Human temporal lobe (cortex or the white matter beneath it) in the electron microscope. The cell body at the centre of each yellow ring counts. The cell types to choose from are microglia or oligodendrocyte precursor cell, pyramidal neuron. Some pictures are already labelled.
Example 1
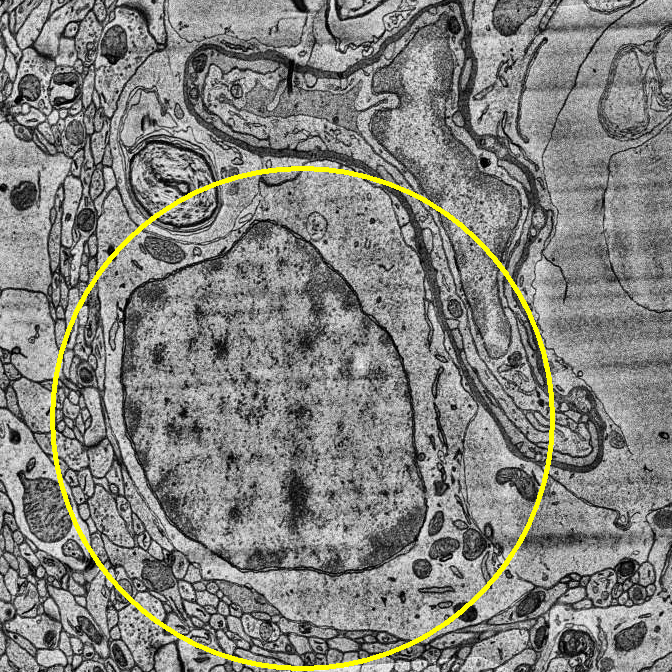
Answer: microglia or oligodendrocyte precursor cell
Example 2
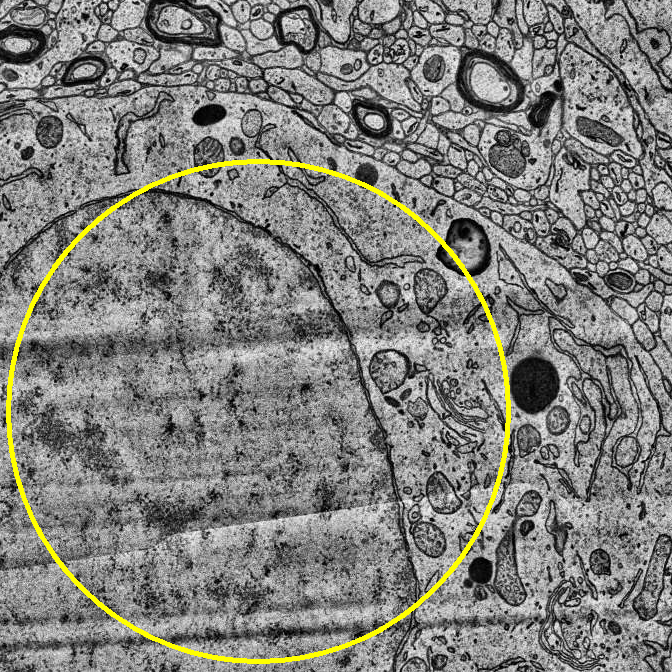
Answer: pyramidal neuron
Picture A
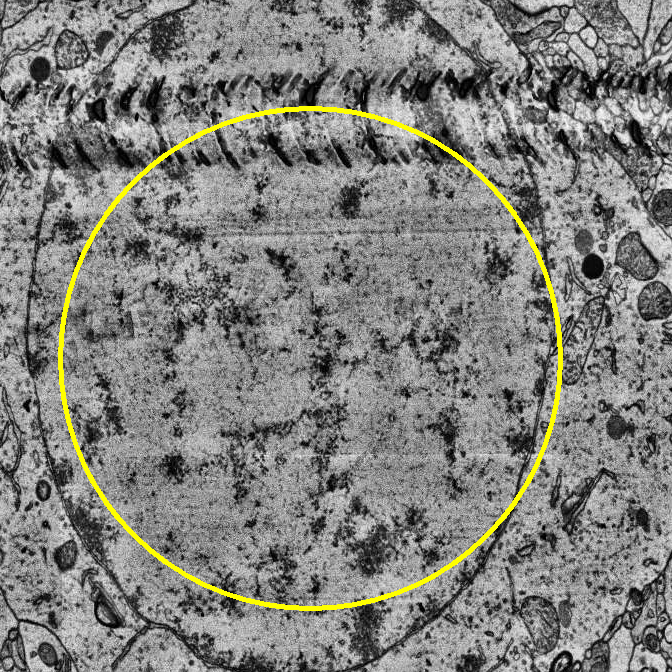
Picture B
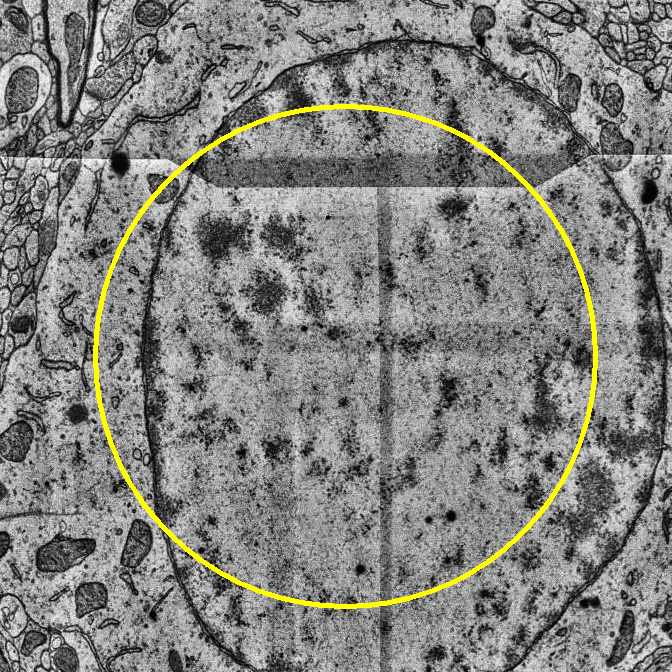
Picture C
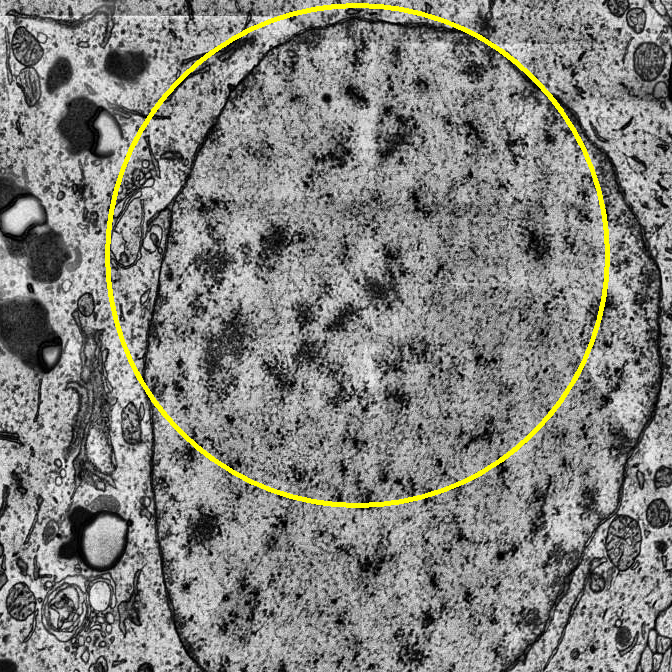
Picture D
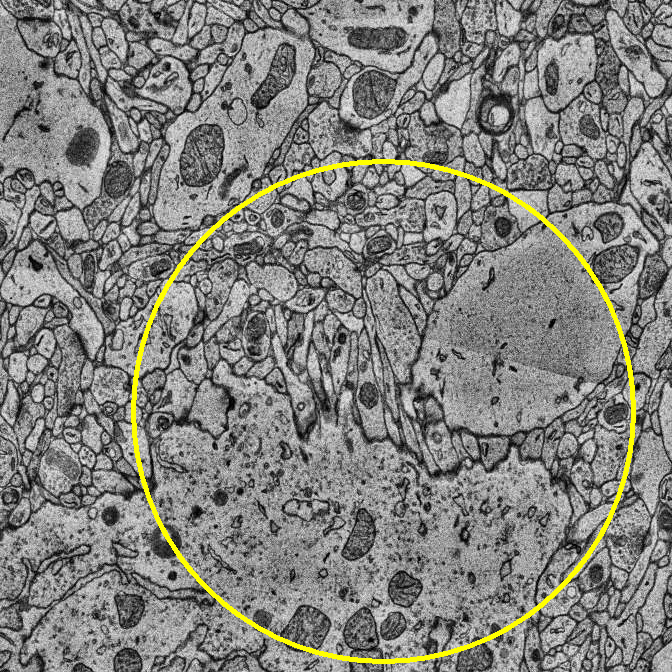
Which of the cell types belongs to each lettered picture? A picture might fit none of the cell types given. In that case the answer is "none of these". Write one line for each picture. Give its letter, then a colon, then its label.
A: pyramidal neuron
B: pyramidal neuron
C: pyramidal neuron
D: none of these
